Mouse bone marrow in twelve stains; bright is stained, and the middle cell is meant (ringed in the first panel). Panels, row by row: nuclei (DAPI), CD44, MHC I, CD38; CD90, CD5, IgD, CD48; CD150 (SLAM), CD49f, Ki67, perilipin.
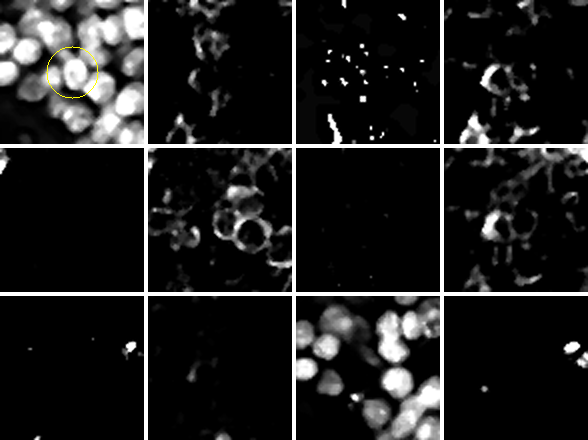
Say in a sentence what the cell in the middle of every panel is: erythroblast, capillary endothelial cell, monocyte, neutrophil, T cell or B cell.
This is a B cell.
